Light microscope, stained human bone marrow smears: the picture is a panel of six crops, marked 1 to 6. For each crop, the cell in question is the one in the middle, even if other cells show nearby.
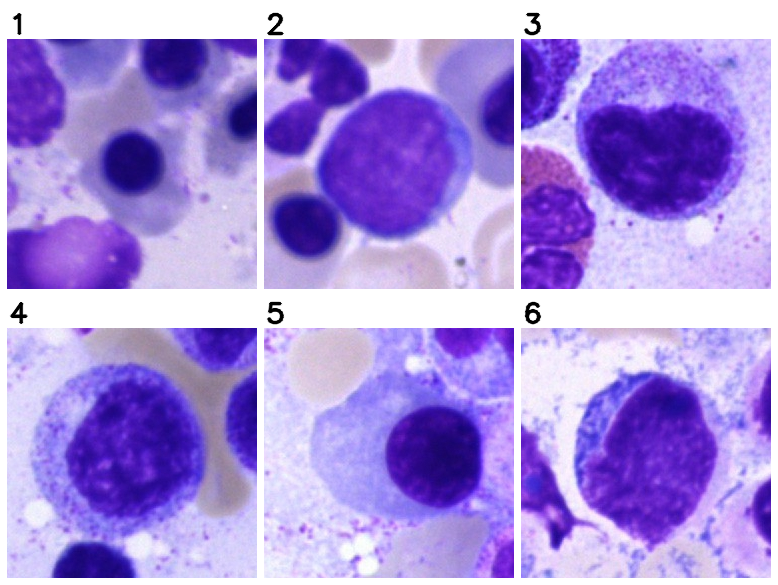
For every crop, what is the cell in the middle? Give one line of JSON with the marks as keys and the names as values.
{"1": "normoblast", "2": "blast", "3": "myelocyte", "4": "promyelocyte", "5": "normoblast", "6": "blast"}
